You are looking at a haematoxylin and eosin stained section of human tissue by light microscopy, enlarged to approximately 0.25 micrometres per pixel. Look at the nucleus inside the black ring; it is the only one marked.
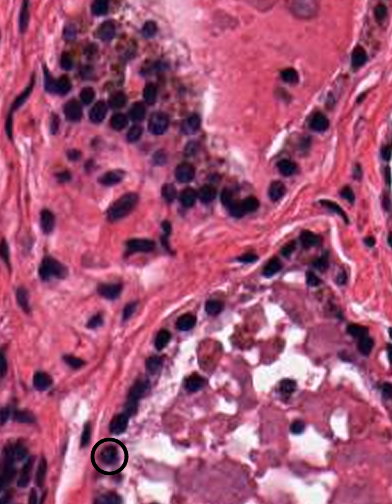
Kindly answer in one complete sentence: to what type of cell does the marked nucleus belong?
The owner of the marked nucleus is a thyroid follicular cell.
